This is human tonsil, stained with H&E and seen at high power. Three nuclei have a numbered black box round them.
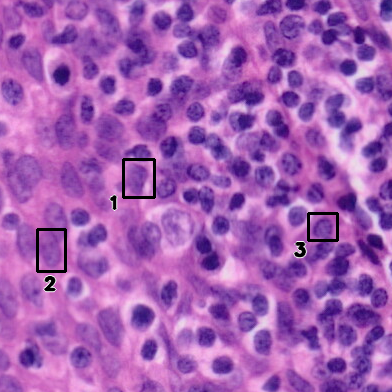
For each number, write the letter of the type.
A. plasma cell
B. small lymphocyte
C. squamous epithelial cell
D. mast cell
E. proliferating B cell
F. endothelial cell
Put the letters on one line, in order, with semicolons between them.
C; C; A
